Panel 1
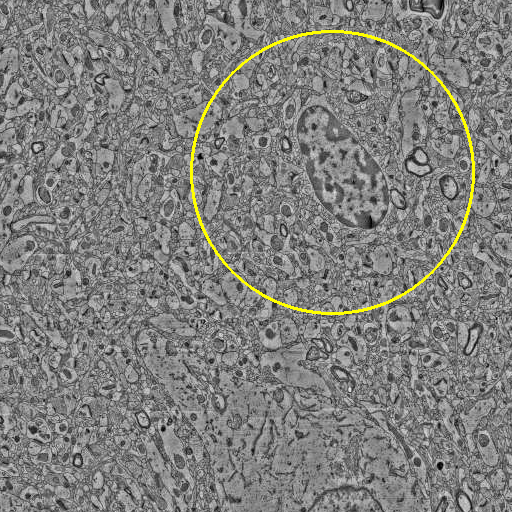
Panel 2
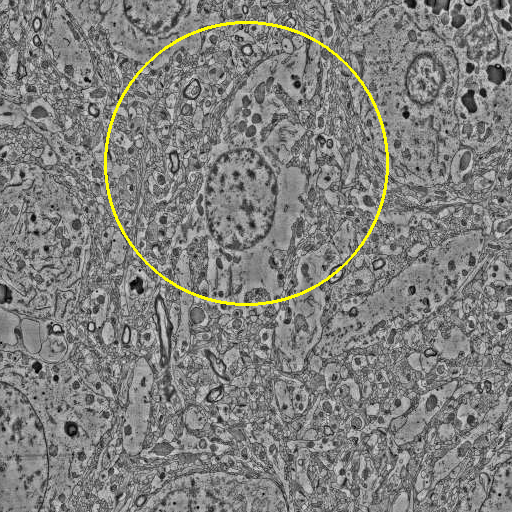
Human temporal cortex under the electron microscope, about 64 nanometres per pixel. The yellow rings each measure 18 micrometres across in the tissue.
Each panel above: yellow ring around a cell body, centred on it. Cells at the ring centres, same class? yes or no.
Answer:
no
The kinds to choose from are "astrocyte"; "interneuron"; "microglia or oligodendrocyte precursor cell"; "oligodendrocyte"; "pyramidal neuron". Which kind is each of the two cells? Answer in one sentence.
Of the two, the first cell is a microglial cell or oligodendrocyte precursor cell and the second cell is an astrocyte.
